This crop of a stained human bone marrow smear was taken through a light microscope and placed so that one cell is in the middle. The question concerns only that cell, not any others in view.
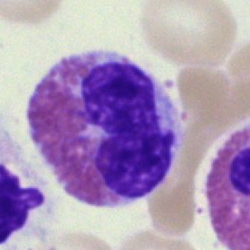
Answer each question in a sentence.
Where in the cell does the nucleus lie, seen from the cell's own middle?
The nucleus lies toward the right of the cell.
